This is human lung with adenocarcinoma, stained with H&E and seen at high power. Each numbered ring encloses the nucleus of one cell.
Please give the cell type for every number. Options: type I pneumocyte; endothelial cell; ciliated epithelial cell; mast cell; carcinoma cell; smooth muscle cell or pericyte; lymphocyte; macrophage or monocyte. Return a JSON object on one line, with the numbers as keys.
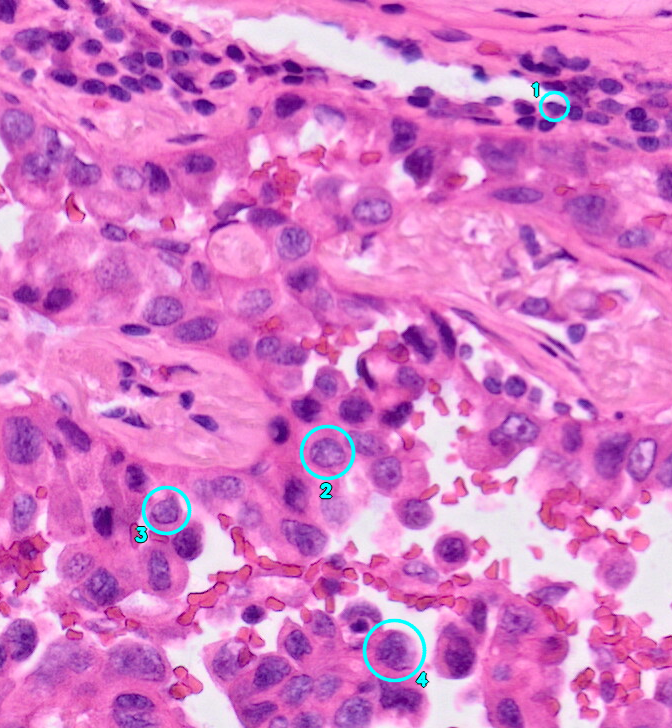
{"1": "lymphocyte", "2": "carcinoma cell", "3": "carcinoma cell", "4": "carcinoma cell"}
